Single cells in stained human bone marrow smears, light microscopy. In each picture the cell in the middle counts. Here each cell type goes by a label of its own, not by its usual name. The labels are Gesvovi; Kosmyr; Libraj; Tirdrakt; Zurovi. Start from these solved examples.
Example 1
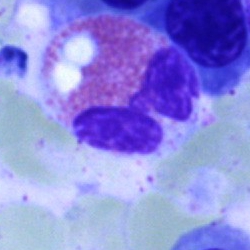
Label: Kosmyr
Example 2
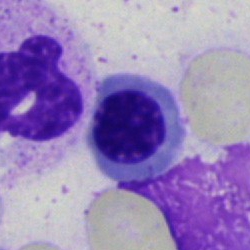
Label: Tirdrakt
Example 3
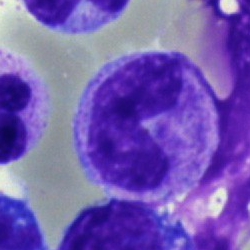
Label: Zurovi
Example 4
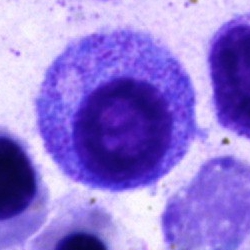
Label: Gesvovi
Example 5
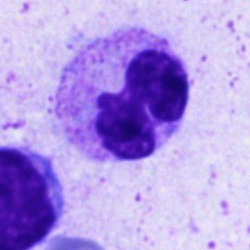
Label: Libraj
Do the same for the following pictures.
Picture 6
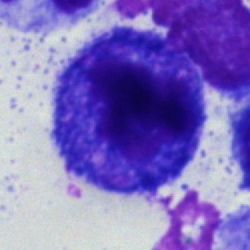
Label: Gesvovi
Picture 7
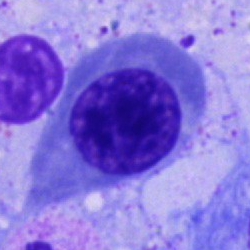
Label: Tirdrakt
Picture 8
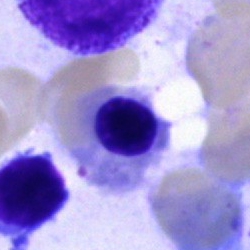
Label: Tirdrakt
